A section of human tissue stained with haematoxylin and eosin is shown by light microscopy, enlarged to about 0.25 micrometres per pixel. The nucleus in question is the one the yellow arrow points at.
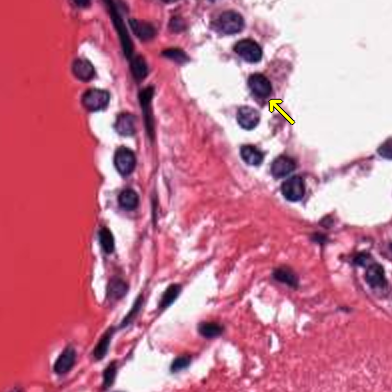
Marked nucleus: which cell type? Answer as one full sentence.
The marked nucleus is that of a thyroid follicular cell in this section.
